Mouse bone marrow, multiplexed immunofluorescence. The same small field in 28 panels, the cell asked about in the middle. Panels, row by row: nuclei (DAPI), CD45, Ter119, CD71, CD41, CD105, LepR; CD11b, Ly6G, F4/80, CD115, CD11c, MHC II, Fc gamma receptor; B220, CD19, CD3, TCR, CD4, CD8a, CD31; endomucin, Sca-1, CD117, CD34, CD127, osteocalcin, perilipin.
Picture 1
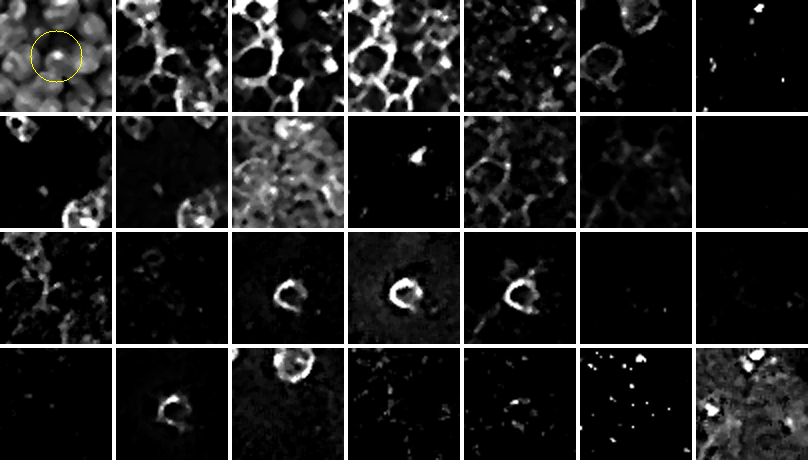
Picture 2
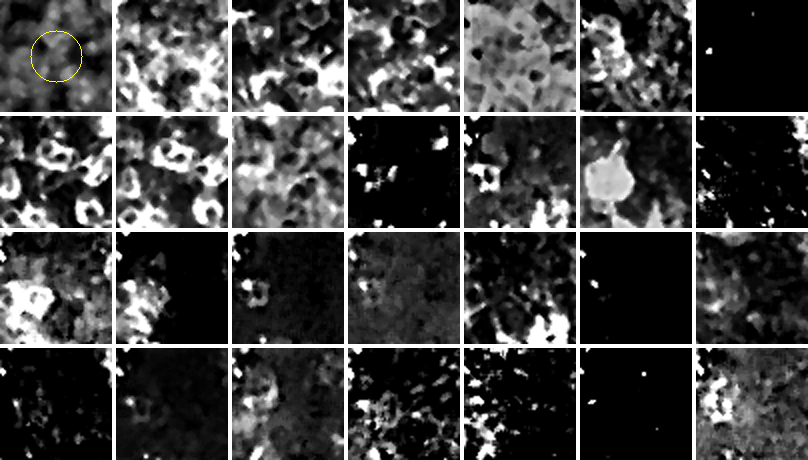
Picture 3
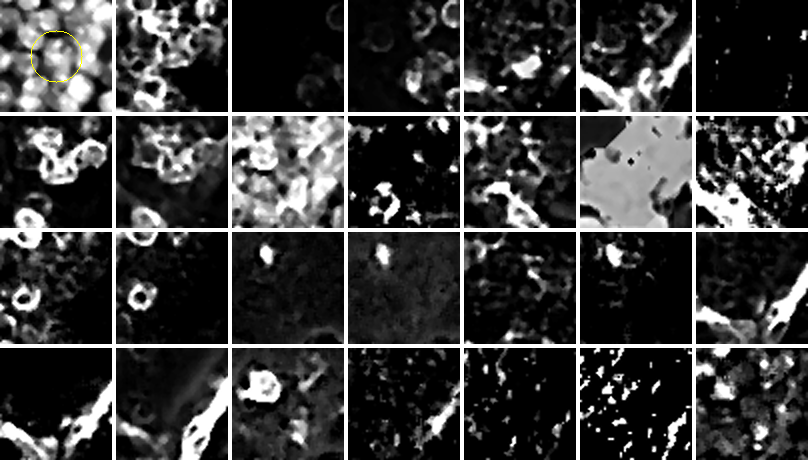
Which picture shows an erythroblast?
Picture 2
